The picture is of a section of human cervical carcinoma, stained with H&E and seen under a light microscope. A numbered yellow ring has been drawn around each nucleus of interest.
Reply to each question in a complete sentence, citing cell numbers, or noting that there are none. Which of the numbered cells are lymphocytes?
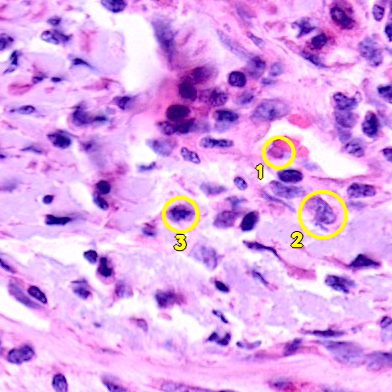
Among the numbered cells, a lymphocyte occurs only once, as cell 3.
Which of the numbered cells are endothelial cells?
Cell 1 represents an endothelial cell, and no other numbered cell does.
